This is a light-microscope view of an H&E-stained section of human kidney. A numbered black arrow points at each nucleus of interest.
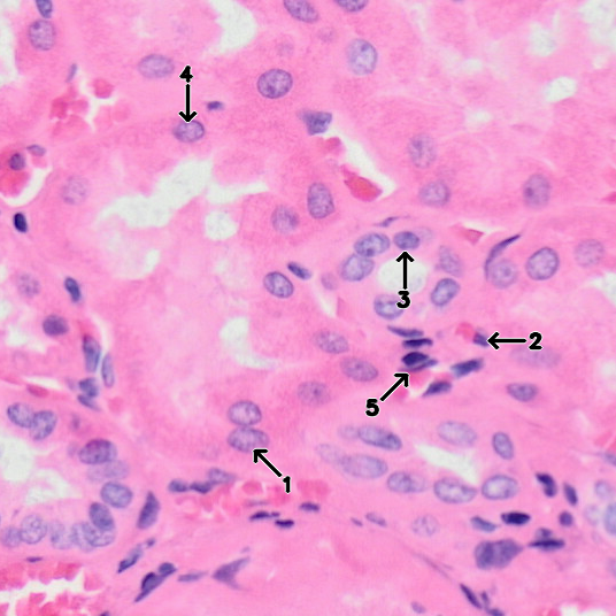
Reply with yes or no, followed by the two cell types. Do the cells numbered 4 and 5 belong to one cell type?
No, cell 4 is a proximal tubule cell and cell 5, for its part, is an endothelial cell.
